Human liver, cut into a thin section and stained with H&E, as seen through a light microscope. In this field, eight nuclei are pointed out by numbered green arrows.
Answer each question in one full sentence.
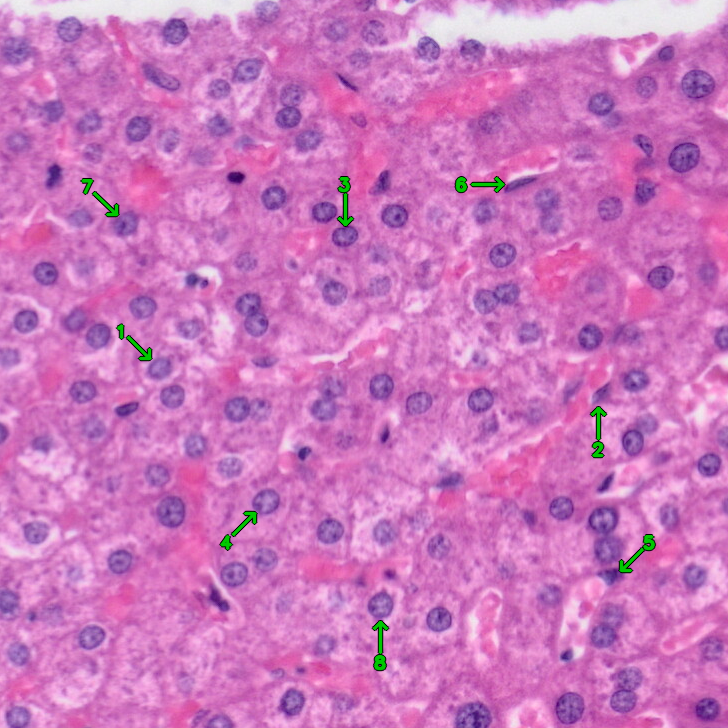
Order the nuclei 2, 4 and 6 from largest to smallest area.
Going from the biggest nucleus down to the smallest gives 4, 6, 2.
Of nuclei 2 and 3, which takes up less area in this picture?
With nucleus 3 about 2.5 times its size, nucleus 2 is the smaller of the two.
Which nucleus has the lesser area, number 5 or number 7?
Nucleus 5 is the smaller one; nucleus 7 covers about 1.5 times its area.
